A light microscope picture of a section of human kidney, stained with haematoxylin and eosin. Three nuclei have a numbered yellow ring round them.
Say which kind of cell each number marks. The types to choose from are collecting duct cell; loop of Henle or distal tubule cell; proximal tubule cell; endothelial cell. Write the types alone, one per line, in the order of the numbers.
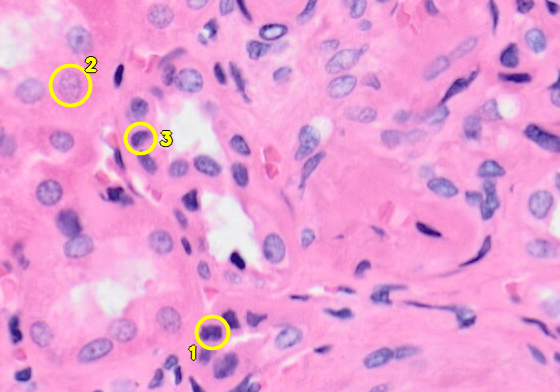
collecting duct cell
proximal tubule cell
collecting duct cell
